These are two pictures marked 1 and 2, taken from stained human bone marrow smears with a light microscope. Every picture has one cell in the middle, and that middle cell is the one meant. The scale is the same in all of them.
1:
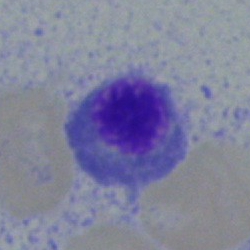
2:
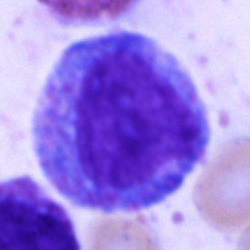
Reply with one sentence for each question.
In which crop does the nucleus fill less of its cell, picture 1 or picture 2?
Of the two, the nucleus in picture 1 leaves more room for cytoplasm.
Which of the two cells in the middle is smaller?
The cell in picture 1 is smaller; the one in picture 2 has about 2.5 times its area.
